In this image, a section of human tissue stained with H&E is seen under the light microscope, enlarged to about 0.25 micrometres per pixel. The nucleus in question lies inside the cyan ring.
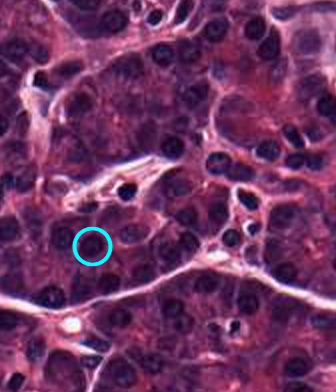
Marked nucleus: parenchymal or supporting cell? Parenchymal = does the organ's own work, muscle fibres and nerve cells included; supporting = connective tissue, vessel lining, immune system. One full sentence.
The marked nucleus is contained in a parenchymal cell, namely a pancreatic acinar cell.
